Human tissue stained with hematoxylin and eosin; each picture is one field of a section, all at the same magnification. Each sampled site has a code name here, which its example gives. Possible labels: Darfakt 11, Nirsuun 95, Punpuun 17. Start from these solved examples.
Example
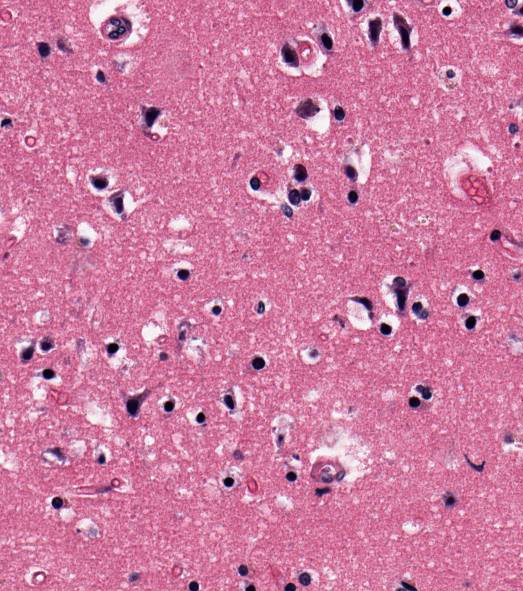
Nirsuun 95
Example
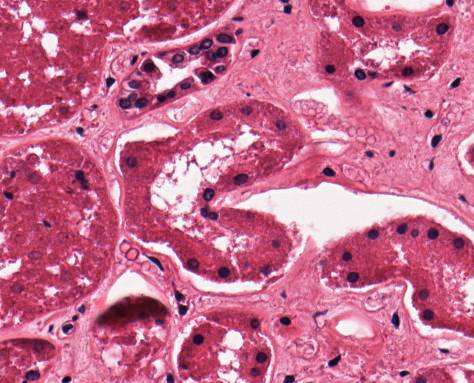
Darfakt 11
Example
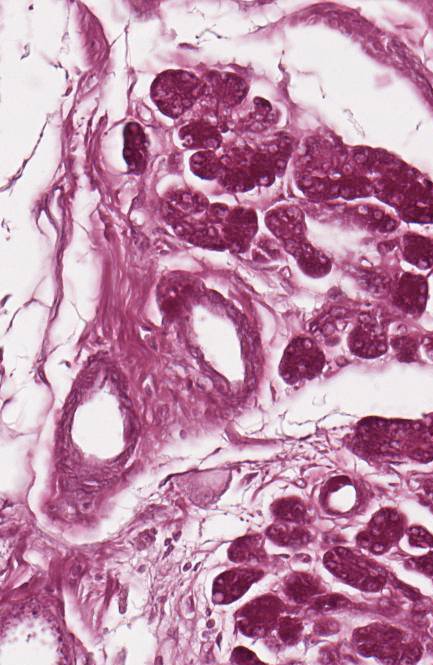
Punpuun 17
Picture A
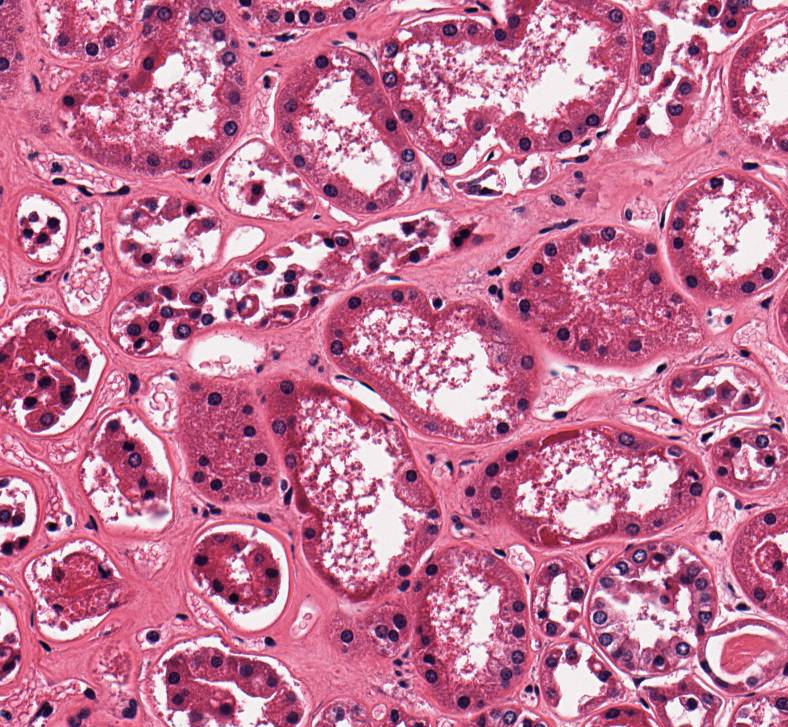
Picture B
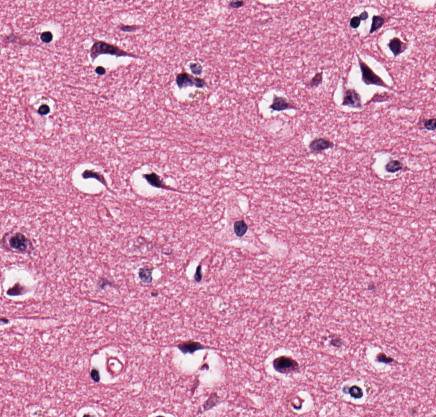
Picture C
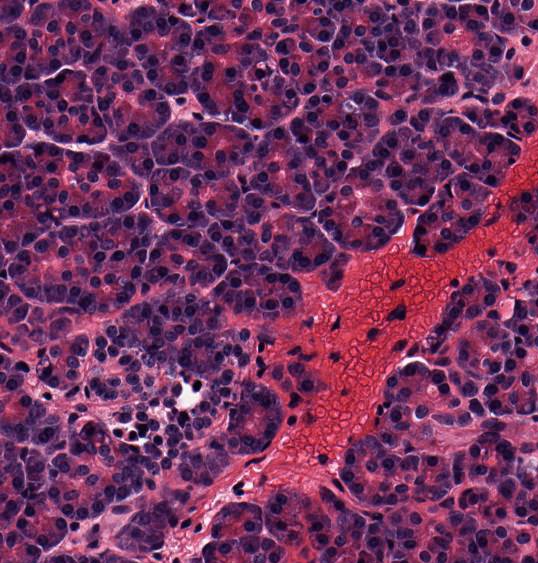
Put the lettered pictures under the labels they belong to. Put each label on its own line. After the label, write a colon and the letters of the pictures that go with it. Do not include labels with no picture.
Darfakt 11: A
Nirsuun 95: B
Punpuun 17: C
